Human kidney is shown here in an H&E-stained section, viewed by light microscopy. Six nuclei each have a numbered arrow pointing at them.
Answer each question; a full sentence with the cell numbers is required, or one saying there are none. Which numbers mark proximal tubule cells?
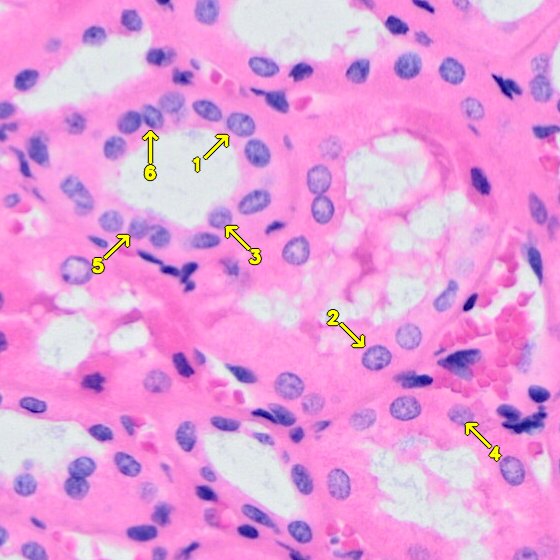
The cells tagged with numbers 2 and 4 are proximal tubule cells.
